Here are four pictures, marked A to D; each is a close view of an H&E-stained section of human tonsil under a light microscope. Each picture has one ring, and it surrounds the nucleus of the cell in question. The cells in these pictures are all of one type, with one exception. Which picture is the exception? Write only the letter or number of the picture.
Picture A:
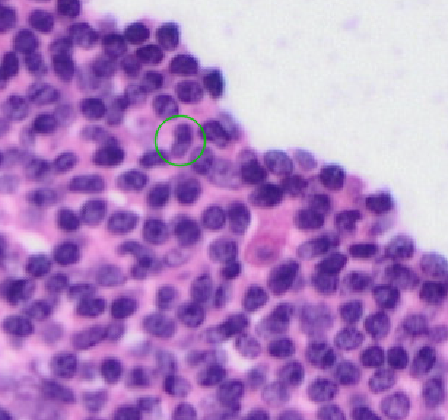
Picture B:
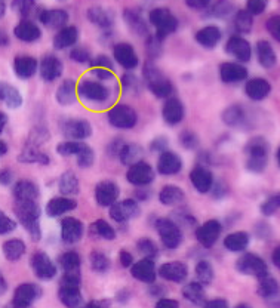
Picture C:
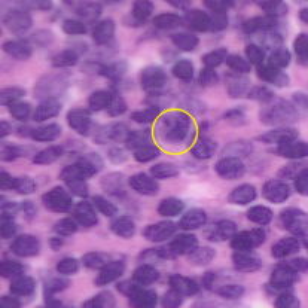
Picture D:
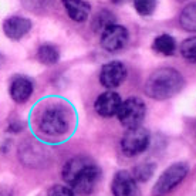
D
